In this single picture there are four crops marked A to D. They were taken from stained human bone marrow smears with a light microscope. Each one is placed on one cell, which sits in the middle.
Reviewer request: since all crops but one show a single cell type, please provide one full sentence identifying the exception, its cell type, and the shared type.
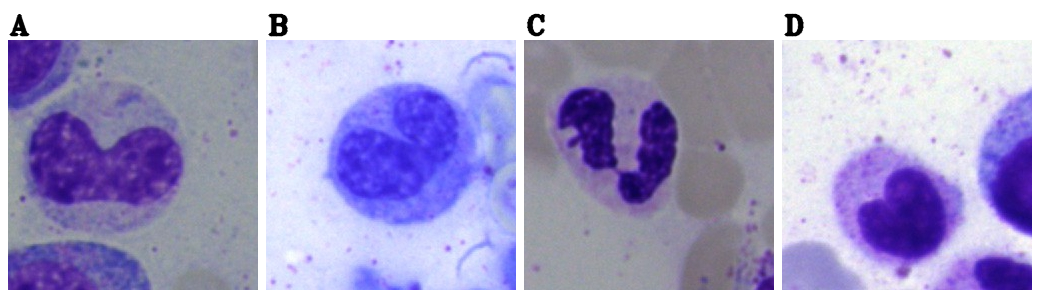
Crop C is the exception in this set, showing a segmented neutrophil while the others show band neutrophils.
